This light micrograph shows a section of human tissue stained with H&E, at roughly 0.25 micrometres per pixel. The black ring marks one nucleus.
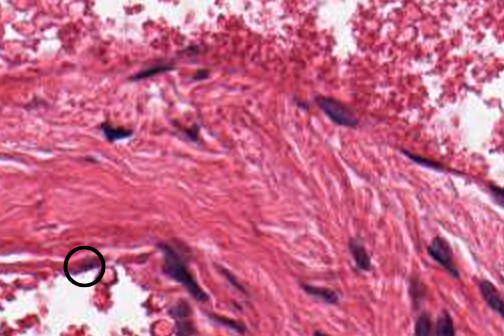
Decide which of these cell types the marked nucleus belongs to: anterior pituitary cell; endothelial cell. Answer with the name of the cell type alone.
endothelial cell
